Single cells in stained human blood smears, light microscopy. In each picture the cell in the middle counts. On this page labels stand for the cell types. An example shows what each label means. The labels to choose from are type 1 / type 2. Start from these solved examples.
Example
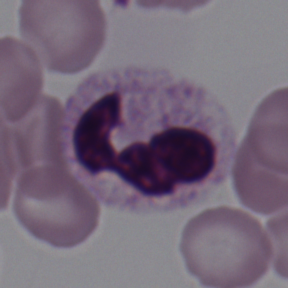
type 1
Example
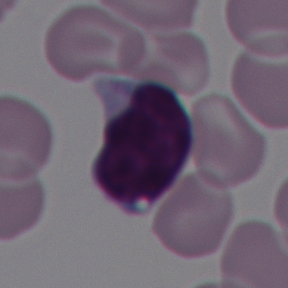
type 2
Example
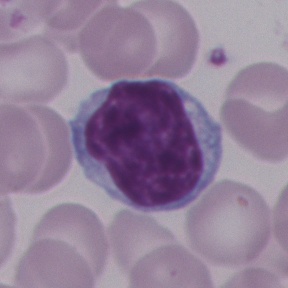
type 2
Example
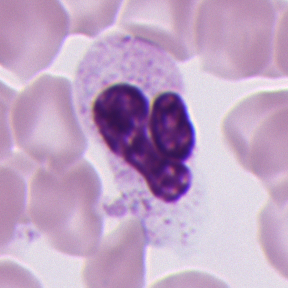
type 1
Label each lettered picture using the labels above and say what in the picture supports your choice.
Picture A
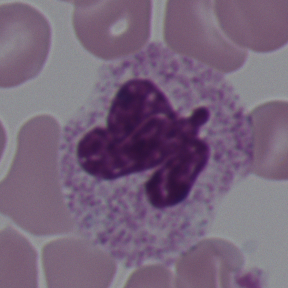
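type 1. Abundant pale pinkish cytoplasm surrounds the nucleus on all sides.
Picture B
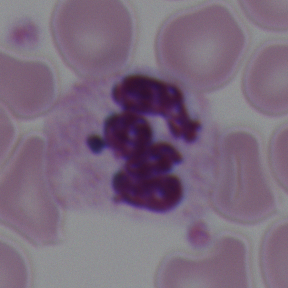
type 1. The cytoplasm is abundant and pale pinkish-lilac.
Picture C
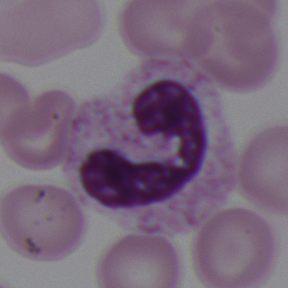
type 1. The cytoplasm is abundant and very pale, close to colourless with a faint pink tint.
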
